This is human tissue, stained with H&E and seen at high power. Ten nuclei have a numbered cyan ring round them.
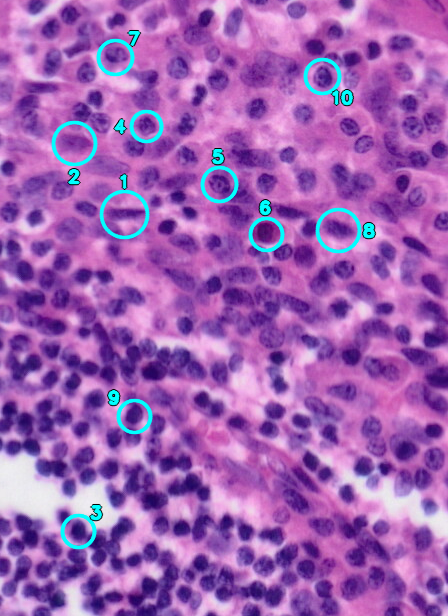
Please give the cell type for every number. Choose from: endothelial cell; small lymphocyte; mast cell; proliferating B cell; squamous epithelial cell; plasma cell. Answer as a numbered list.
1. squamous epithelial cell
2. squamous epithelial cell
3. small lymphocyte
4. plasma cell
5. plasma cell
6. plasma cell
7. plasma cell
8. squamous epithelial cell
9. small lymphocyte
10. plasma cell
